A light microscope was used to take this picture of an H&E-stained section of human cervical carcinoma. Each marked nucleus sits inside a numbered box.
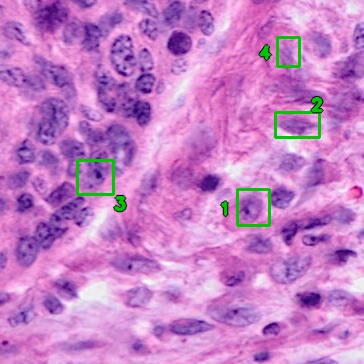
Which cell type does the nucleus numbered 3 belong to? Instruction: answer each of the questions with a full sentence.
Cell 3 in the field is a squamous carcinoma cell.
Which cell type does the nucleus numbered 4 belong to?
Number 4 among the marked cells is a fibroblast.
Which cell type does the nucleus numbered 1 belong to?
Cell 1 of the marked set is a macrophage or monocyte.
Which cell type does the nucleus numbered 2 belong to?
The cell indicated with the number 2 is classed as a fibroblast.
